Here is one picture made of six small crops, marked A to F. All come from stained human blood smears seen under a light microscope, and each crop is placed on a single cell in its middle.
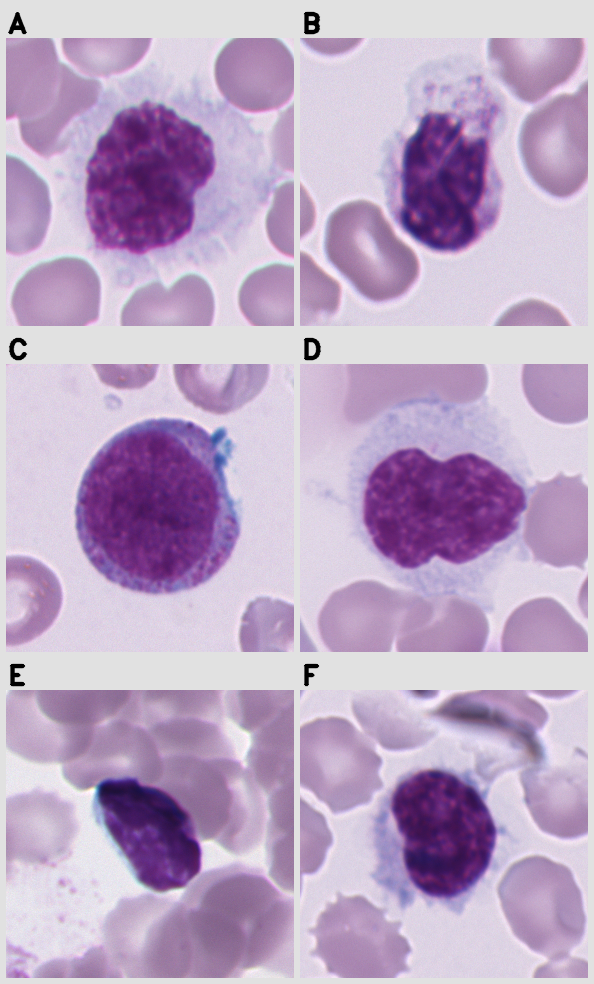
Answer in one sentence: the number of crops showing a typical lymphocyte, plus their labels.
Exactly one of the crops contains a typical lymphocyte: crop E.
